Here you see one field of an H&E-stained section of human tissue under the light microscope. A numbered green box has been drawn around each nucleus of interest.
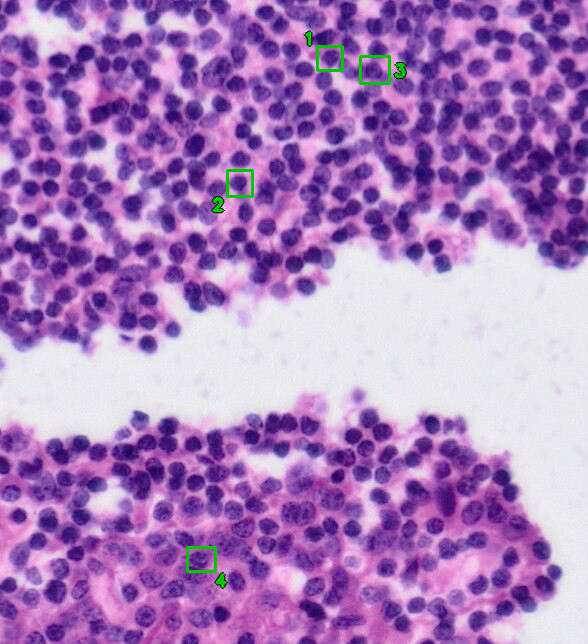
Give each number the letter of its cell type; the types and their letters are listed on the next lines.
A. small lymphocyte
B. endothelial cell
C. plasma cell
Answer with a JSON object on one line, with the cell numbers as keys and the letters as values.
{"1": "A", "2": "A", "3": "A", "4": "C"}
